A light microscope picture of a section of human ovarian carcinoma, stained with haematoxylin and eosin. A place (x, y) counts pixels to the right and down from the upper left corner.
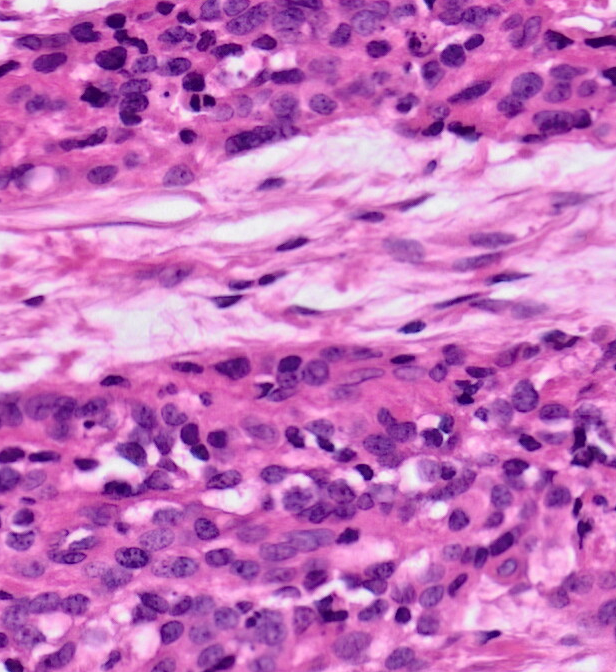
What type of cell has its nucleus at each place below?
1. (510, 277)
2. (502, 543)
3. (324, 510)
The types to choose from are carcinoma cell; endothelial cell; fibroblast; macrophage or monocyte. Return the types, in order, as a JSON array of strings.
["fibroblast", "carcinoma cell", "carcinoma cell"]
